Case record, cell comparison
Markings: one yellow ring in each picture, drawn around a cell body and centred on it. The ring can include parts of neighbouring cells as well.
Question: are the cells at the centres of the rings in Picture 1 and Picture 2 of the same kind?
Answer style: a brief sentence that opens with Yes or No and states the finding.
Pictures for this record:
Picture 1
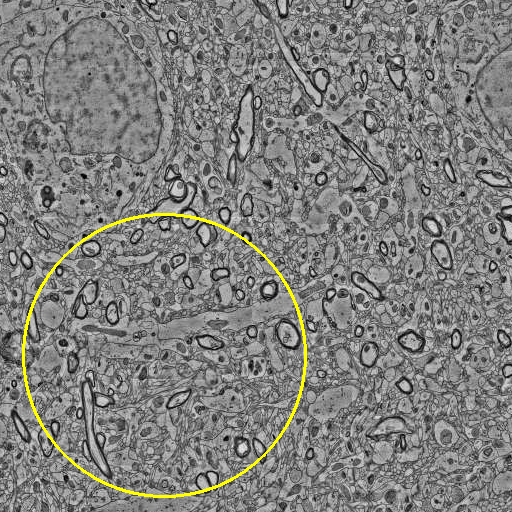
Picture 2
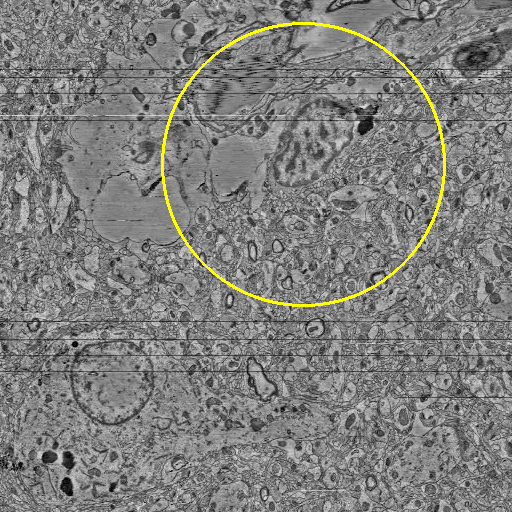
Yes, the cells in Picture 1 and Picture 2 are of the same kind.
